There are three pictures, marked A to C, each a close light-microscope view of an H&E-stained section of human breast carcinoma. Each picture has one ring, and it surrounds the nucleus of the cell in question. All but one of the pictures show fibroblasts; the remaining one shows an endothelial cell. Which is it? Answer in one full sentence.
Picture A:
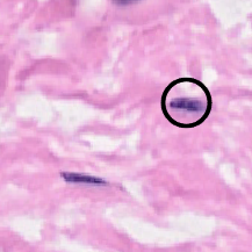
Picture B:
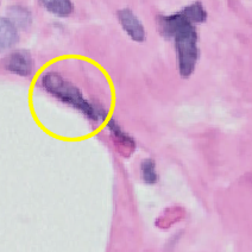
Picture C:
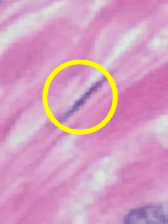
Picture B is the one that shows the endothelial cell.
